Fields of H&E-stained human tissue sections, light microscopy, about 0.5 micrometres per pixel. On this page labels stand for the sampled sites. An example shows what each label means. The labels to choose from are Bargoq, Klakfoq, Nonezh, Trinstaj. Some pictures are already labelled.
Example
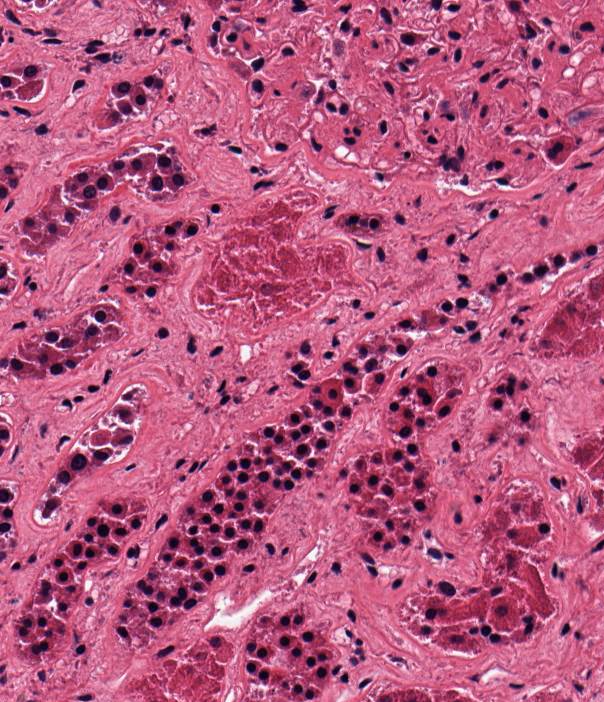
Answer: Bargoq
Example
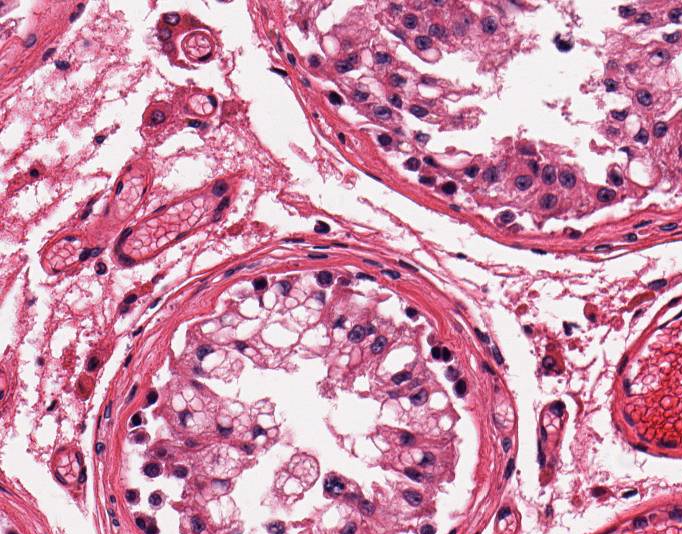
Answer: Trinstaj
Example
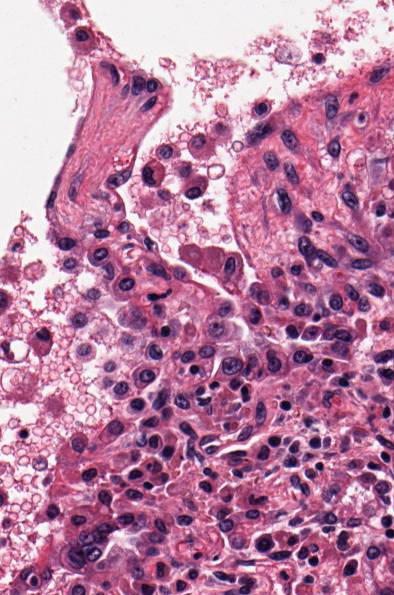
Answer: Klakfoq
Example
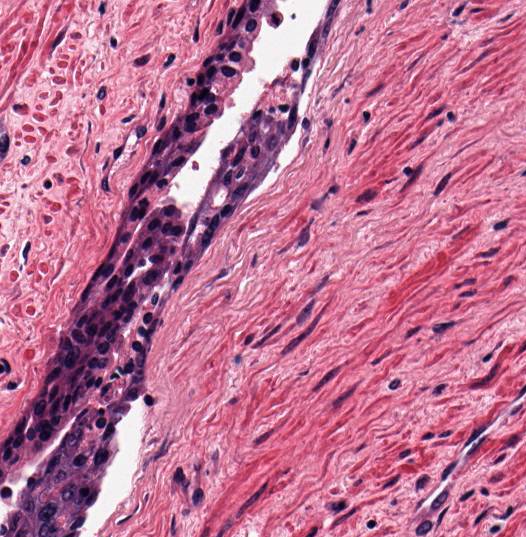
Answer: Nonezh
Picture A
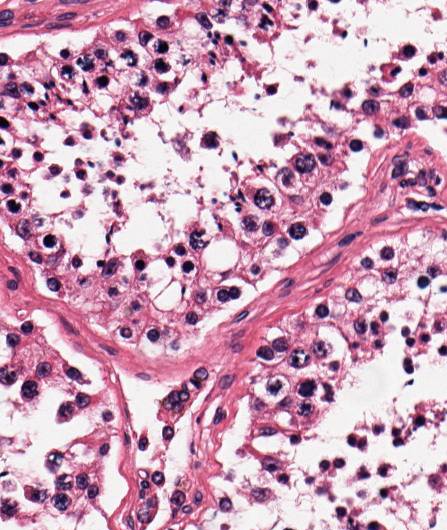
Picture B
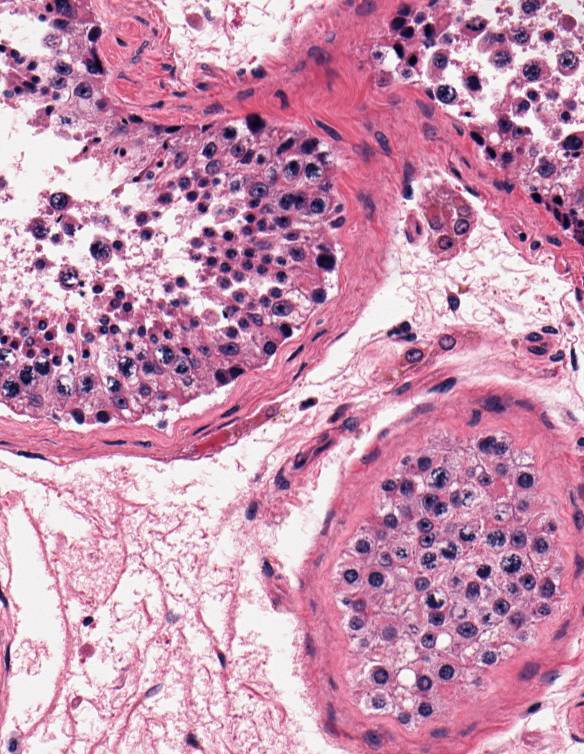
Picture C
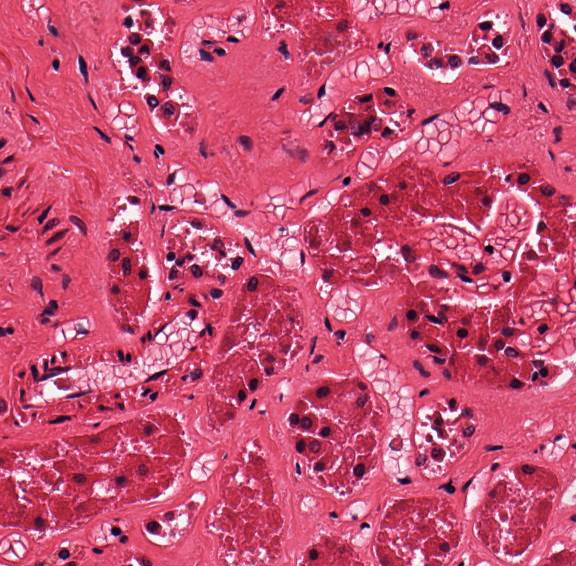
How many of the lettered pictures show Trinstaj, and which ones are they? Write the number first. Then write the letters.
Count: 2 (A, B)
